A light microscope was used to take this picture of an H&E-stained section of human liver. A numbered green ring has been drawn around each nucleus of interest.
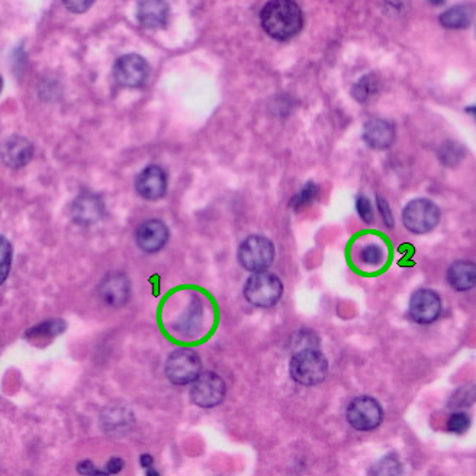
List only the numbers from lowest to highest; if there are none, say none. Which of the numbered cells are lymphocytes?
2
